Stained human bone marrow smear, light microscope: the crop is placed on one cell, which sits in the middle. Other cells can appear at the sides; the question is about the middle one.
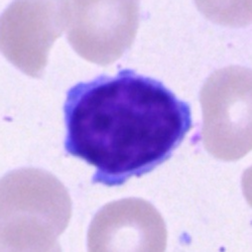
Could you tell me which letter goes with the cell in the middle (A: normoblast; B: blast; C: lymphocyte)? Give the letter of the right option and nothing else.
C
